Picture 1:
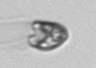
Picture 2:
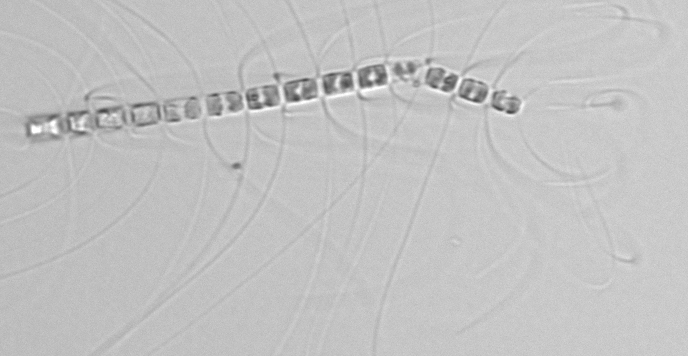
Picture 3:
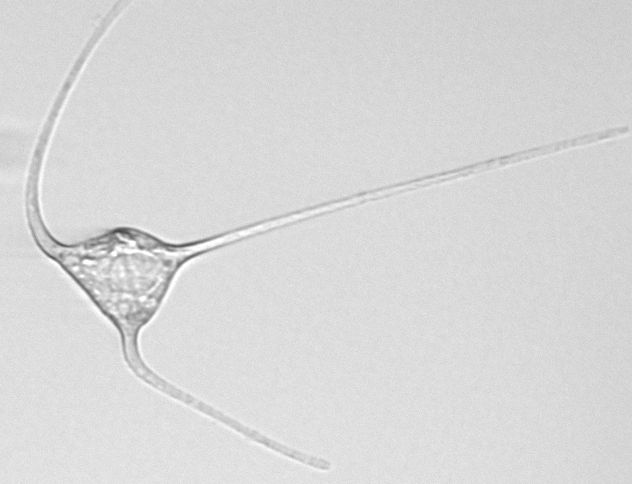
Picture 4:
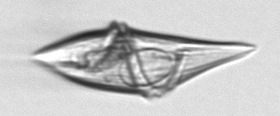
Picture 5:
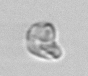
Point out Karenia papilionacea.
That is picture 5.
